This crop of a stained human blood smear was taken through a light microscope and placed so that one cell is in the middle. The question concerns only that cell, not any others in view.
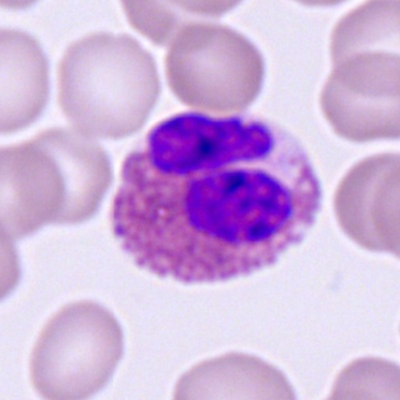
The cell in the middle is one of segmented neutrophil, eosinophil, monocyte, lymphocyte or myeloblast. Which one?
eosinophil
